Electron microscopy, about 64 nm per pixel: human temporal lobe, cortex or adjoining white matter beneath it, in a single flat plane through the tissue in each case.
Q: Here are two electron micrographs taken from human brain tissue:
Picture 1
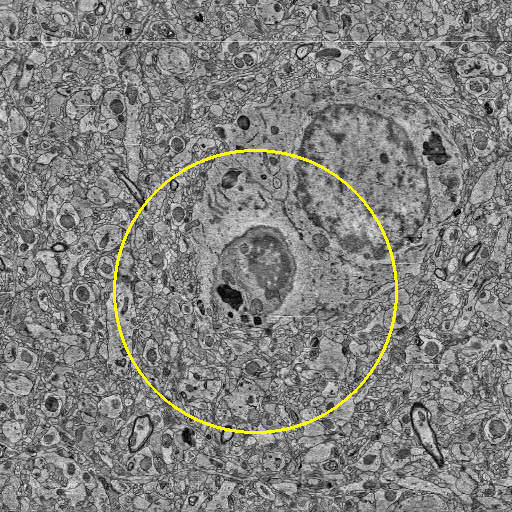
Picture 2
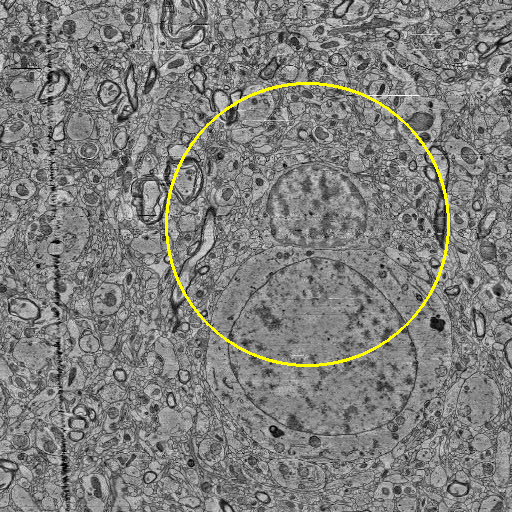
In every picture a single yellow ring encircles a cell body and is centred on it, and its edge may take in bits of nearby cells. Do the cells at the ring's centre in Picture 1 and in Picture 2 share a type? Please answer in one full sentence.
Yes, the cells at the ring's centre in Picture 1 and Picture 2 share a type.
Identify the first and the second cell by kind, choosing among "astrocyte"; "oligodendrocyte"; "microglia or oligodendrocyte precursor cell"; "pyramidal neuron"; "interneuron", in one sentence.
Each of the two rings is centred on an oligodendrocyte.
